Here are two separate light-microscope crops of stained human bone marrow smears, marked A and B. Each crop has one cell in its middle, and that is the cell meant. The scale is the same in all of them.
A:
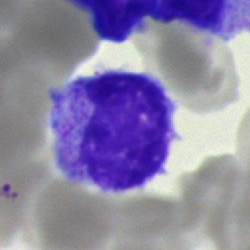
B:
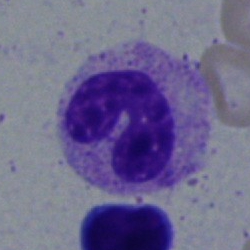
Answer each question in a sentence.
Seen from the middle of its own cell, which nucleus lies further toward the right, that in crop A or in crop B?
Seen within its cell, the nucleus in crop A lies further toward the right.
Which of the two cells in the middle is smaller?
It is the cell in crop A; the cell in crop B has about 1.5 times its area.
